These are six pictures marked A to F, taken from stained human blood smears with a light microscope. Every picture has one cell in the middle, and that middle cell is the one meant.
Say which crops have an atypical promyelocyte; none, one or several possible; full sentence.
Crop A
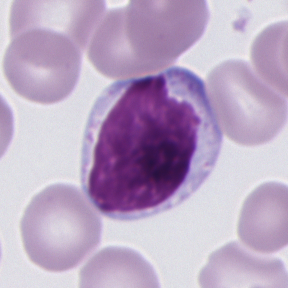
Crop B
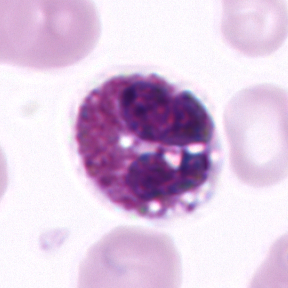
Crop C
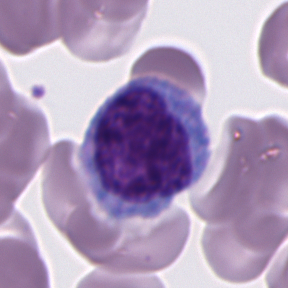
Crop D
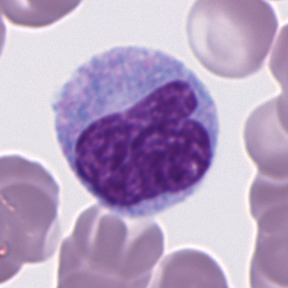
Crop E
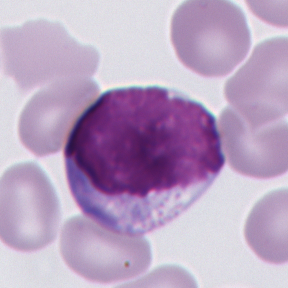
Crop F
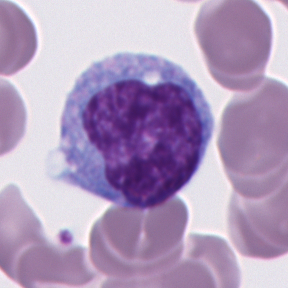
The crops, taken together, do not include an atypical promyelocyte.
